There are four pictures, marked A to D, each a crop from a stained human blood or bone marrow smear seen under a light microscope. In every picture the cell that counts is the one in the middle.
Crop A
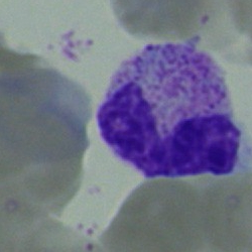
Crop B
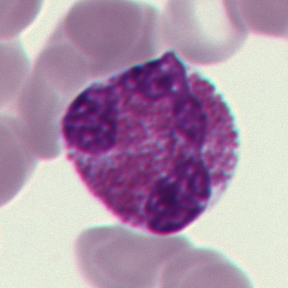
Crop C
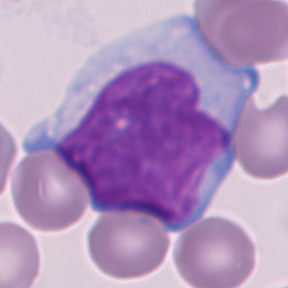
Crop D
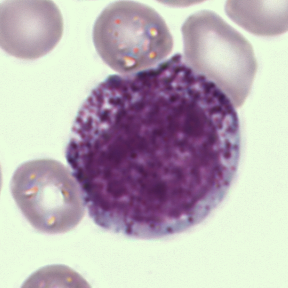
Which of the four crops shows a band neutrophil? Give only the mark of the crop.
A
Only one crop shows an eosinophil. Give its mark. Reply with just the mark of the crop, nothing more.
B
